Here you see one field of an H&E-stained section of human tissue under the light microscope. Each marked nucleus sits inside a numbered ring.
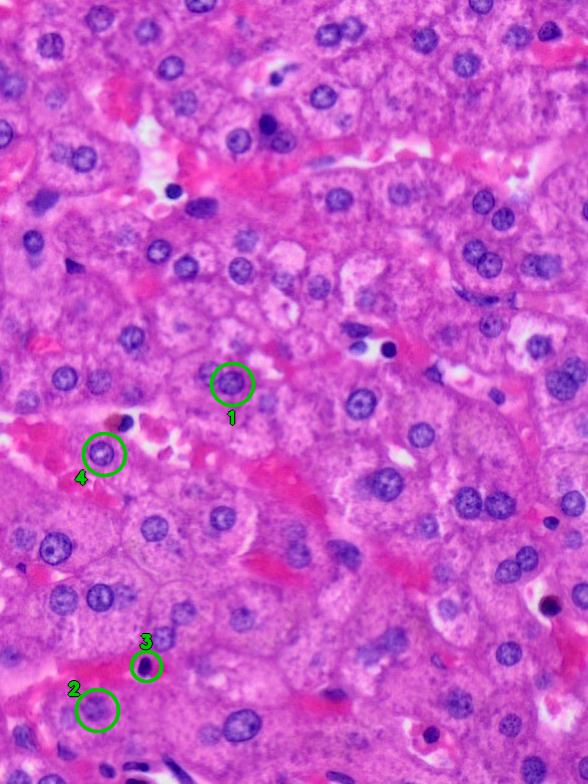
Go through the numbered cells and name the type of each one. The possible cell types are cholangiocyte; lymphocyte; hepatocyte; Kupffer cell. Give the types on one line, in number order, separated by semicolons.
hepatocyte; hepatocyte; lymphocyte; hepatocyte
